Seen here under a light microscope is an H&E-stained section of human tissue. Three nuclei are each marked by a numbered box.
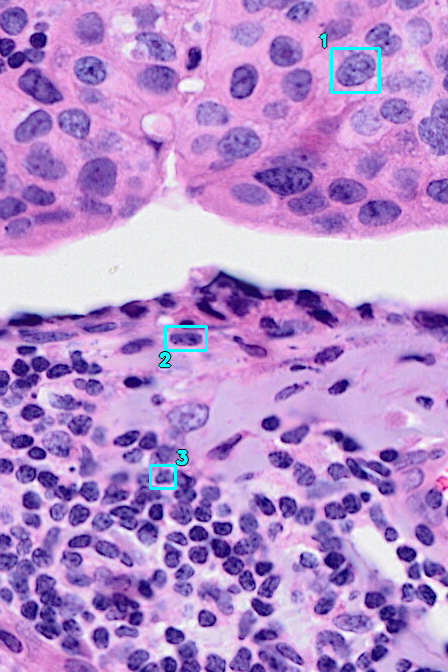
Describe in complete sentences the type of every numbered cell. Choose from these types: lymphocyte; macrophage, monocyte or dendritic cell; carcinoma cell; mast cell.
Cell 1 is a carcinoma cell. Cell 2 is a mast cell. Cell 3 is a lymphocyte.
